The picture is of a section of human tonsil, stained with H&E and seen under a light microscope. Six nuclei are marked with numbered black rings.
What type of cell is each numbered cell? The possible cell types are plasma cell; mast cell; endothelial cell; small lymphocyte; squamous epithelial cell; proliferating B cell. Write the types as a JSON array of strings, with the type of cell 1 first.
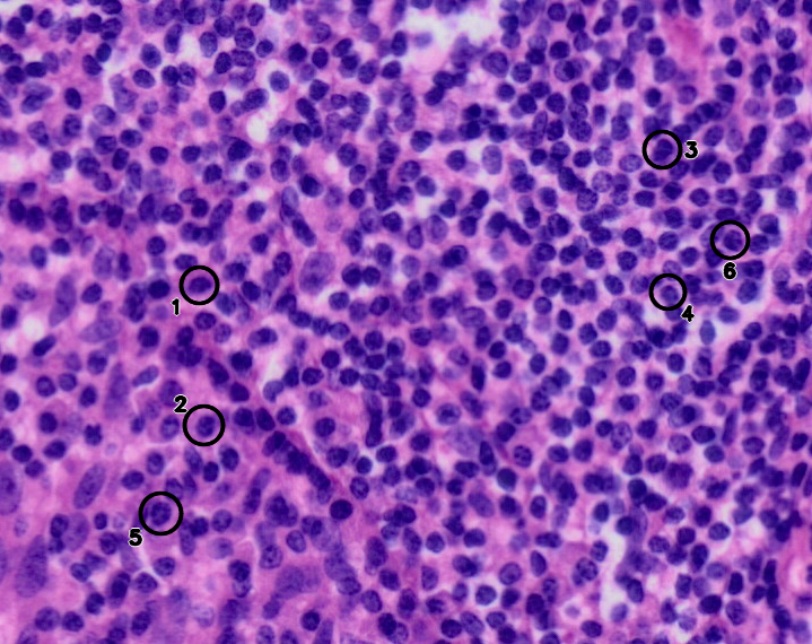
["plasma cell", "plasma cell", "small lymphocyte", "small lymphocyte", "plasma cell", "small lymphocyte"]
